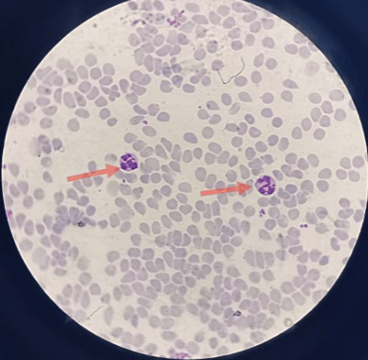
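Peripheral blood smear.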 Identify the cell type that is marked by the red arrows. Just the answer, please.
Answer: neutrophil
